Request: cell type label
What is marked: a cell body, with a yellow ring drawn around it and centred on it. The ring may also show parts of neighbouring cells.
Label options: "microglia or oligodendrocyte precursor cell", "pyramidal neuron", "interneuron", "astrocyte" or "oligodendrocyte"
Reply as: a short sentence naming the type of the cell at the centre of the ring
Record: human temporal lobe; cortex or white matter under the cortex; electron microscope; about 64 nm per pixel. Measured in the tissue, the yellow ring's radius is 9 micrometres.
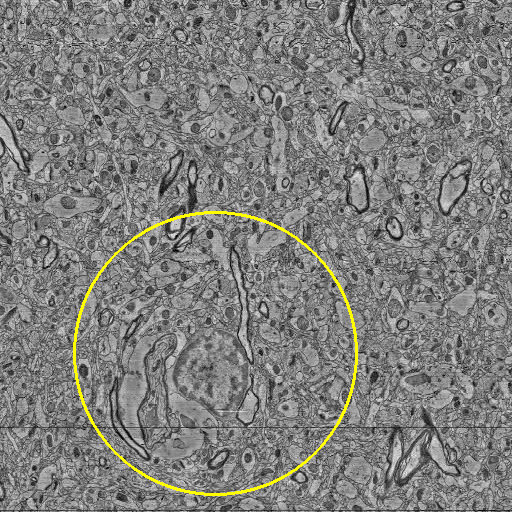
The marked cell body is that of an oligodendrocyte.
